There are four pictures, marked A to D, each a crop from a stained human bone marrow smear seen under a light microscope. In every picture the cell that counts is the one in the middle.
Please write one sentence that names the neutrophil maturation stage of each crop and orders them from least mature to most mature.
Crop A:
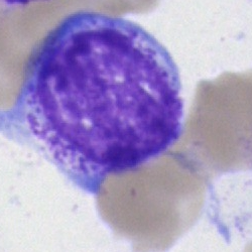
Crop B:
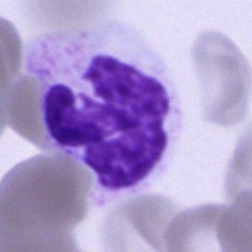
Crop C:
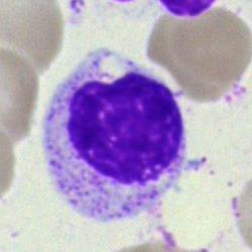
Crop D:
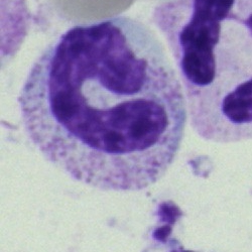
Placed in order from least to most mature, they run crop A (a promyelocyte), crop C (a myelocyte), crop D (a band neutrophil) and crop B (a segmented neutrophil).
